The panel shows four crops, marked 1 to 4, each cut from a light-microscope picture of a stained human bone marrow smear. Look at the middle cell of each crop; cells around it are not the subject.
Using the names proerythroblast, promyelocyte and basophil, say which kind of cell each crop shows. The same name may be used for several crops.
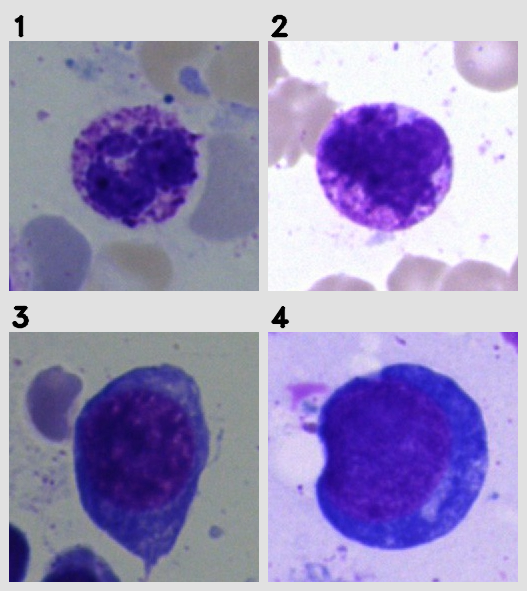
1: basophil
2: basophil
3: proerythroblast
4: proerythroblast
